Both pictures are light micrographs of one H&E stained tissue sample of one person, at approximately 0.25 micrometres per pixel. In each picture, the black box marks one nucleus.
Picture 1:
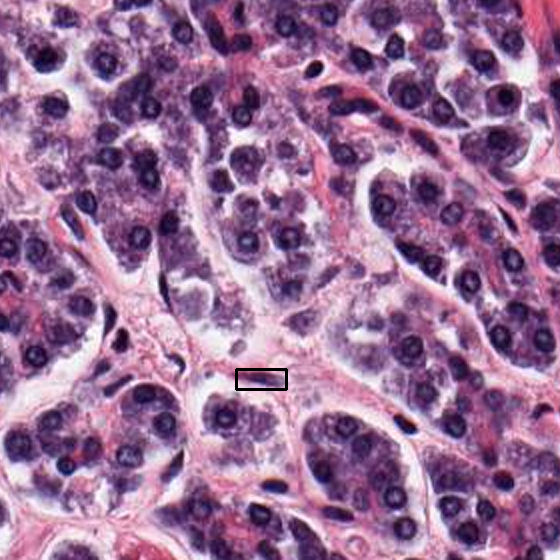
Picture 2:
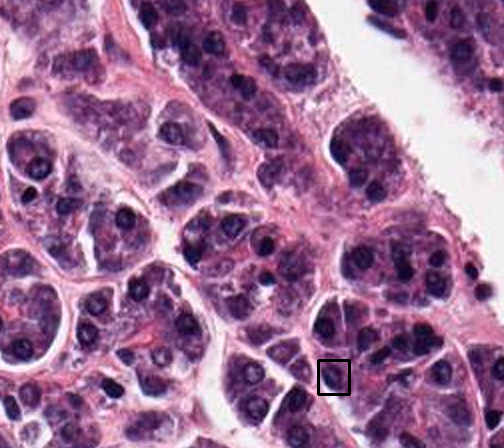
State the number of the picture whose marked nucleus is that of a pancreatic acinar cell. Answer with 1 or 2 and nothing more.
2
